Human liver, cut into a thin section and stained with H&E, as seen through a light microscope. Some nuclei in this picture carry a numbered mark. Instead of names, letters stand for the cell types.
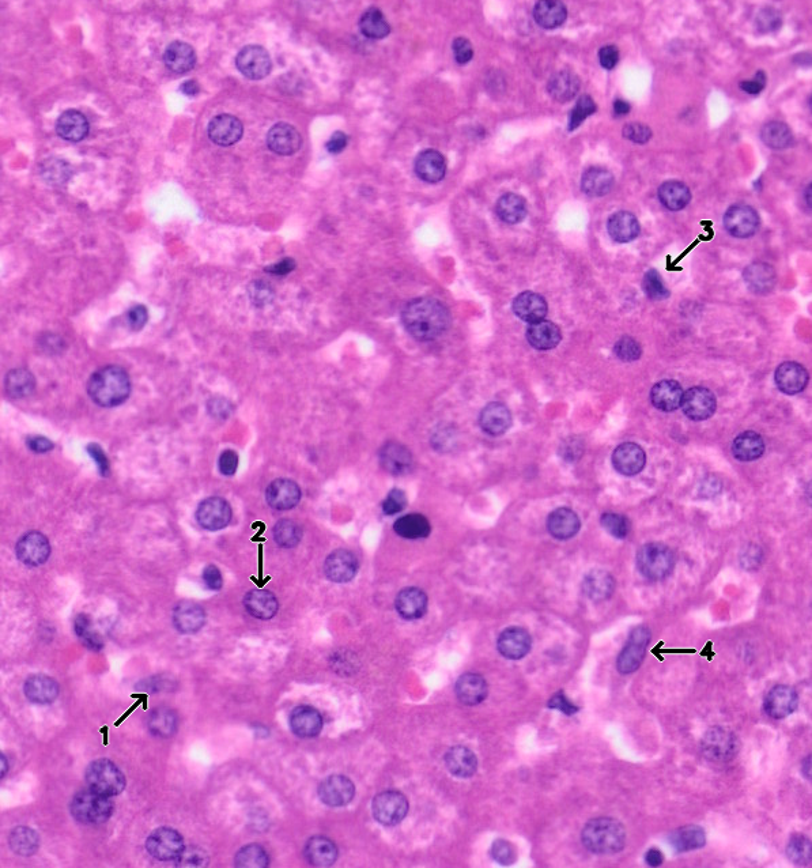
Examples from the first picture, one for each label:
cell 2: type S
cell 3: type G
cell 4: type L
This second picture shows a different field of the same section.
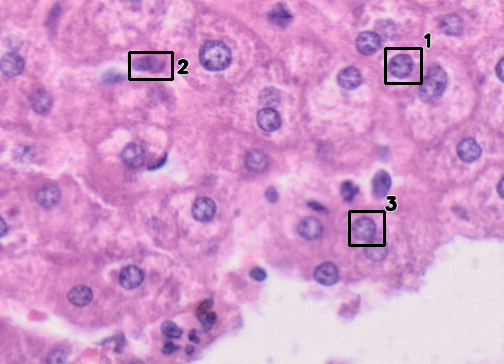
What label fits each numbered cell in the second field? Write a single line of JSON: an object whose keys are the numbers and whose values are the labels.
{"1": "type S", "2": "type L", "3": "type S"}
